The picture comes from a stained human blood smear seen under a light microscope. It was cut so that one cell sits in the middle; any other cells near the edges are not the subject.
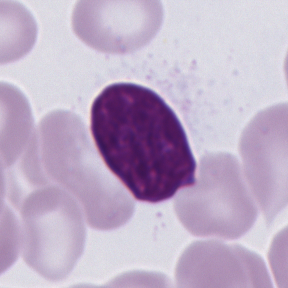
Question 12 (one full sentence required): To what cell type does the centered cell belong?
Where the crop is centred, there is a smudge cell.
